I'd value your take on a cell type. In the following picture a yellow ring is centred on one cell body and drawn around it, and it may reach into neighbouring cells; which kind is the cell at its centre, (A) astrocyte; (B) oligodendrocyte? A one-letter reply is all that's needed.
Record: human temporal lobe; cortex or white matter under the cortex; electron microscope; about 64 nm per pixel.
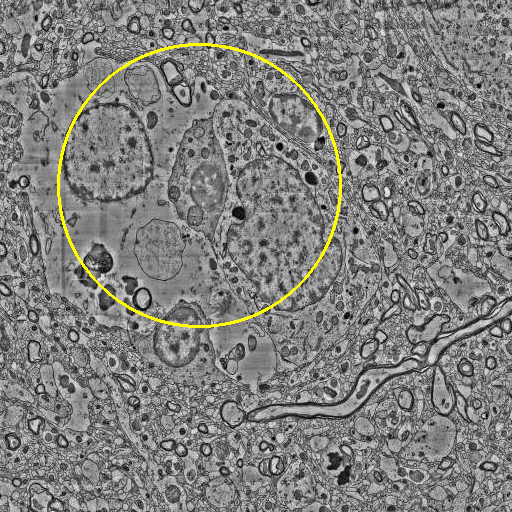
B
